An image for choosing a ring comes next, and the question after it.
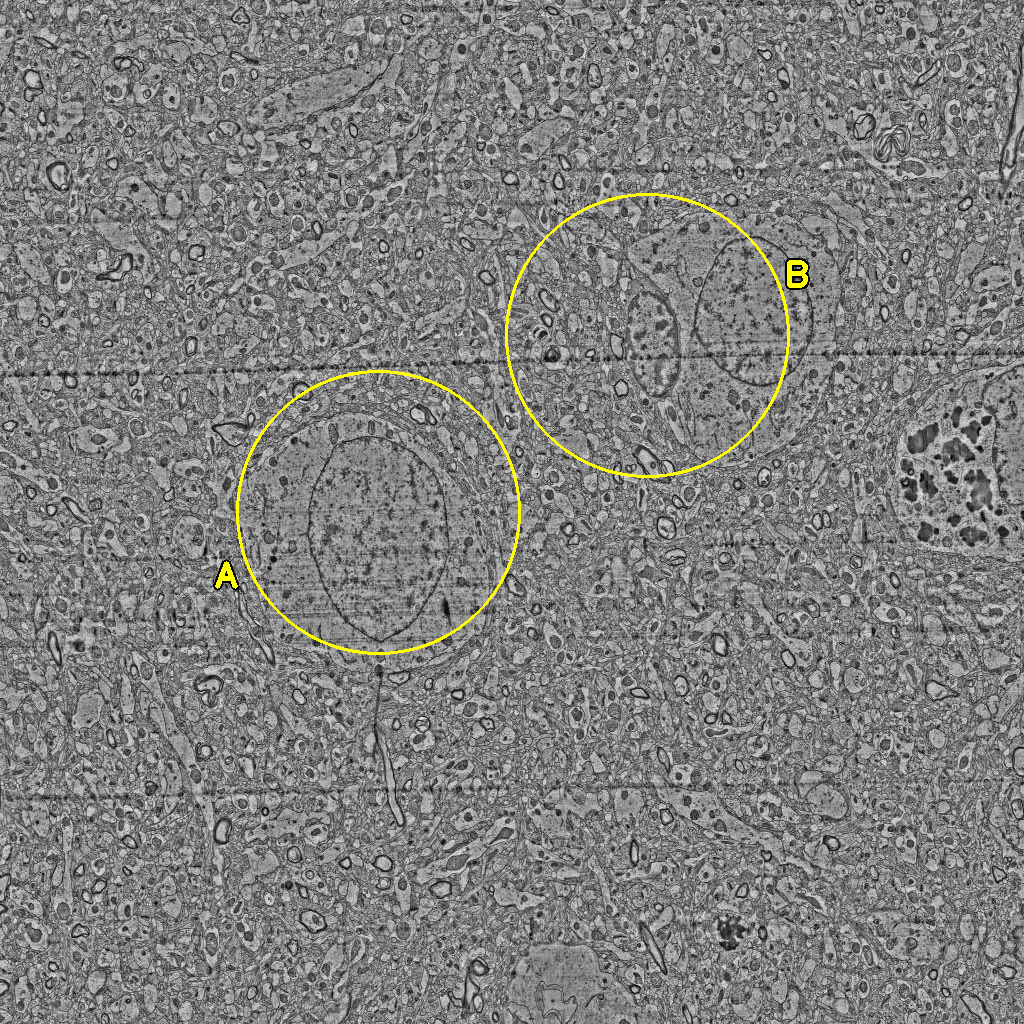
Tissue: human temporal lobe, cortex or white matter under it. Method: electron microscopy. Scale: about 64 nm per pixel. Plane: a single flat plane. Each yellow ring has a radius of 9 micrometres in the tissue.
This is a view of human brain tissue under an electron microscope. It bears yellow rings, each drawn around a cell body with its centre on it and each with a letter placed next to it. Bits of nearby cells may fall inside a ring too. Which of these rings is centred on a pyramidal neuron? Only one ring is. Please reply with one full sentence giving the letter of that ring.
Of all the lettered rings, A is the one centred on a cell of that kind.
